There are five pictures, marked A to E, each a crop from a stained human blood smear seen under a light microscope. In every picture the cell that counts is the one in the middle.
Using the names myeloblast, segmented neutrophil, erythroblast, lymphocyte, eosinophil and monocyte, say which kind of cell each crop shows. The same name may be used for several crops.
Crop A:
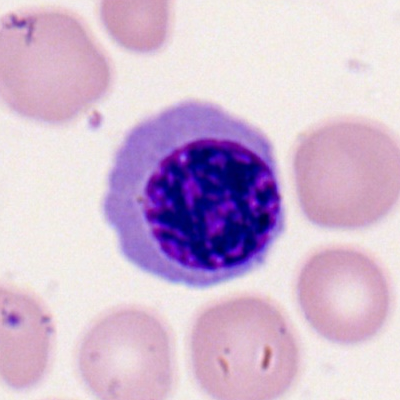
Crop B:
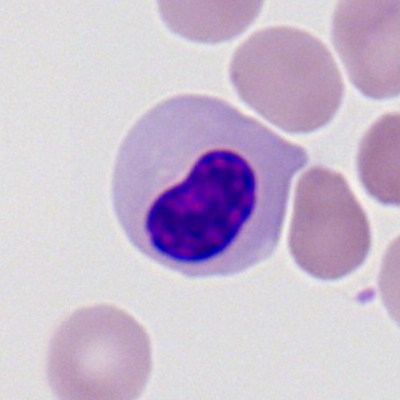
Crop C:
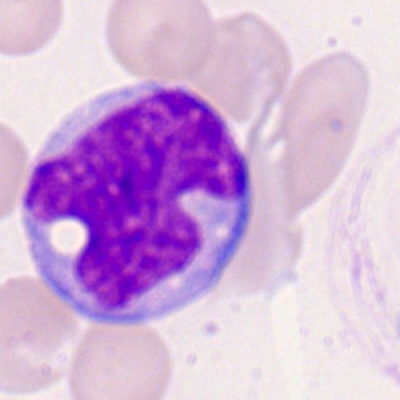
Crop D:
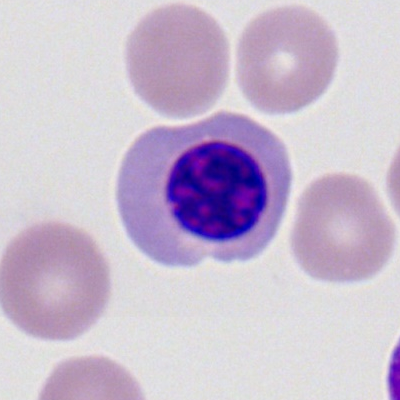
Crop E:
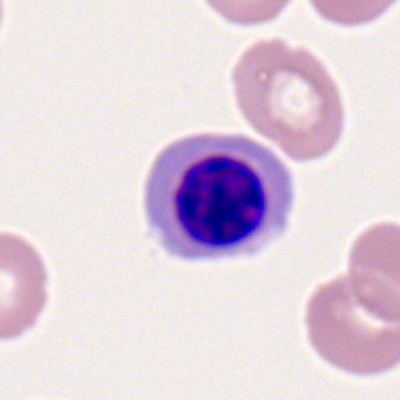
A: erythroblast
B: erythroblast
C: monocyte
D: erythroblast
E: erythroblast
